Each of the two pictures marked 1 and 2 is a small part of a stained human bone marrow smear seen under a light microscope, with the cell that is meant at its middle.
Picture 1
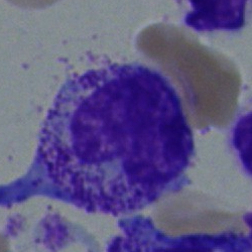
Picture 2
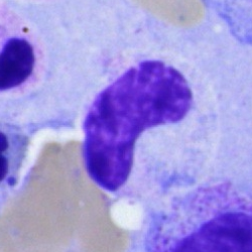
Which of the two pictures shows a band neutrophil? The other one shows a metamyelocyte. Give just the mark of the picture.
2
